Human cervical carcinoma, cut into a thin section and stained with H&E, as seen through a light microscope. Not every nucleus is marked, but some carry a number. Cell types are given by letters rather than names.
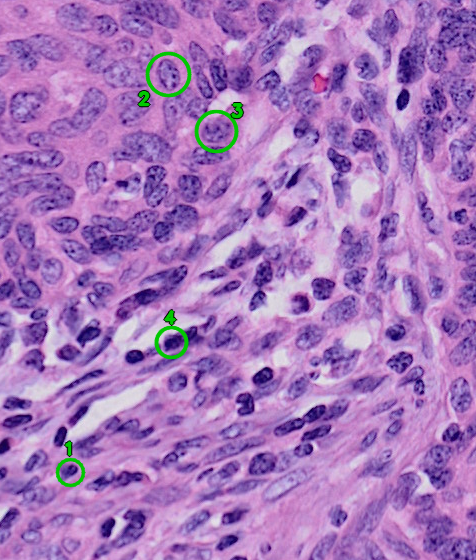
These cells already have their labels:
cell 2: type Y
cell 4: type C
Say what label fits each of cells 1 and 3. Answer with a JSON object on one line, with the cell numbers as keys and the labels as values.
{"1": "type C", "3": "type Y"}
